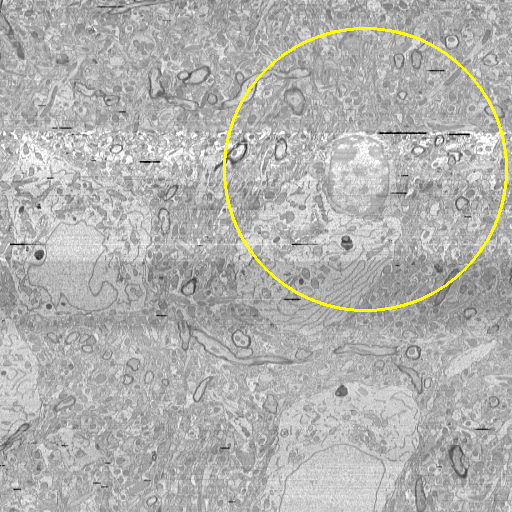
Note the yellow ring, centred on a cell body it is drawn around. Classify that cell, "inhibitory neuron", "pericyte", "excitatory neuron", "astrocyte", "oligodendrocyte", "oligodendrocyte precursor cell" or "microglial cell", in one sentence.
The cell the ring is centred on is an oligodendrocyte.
